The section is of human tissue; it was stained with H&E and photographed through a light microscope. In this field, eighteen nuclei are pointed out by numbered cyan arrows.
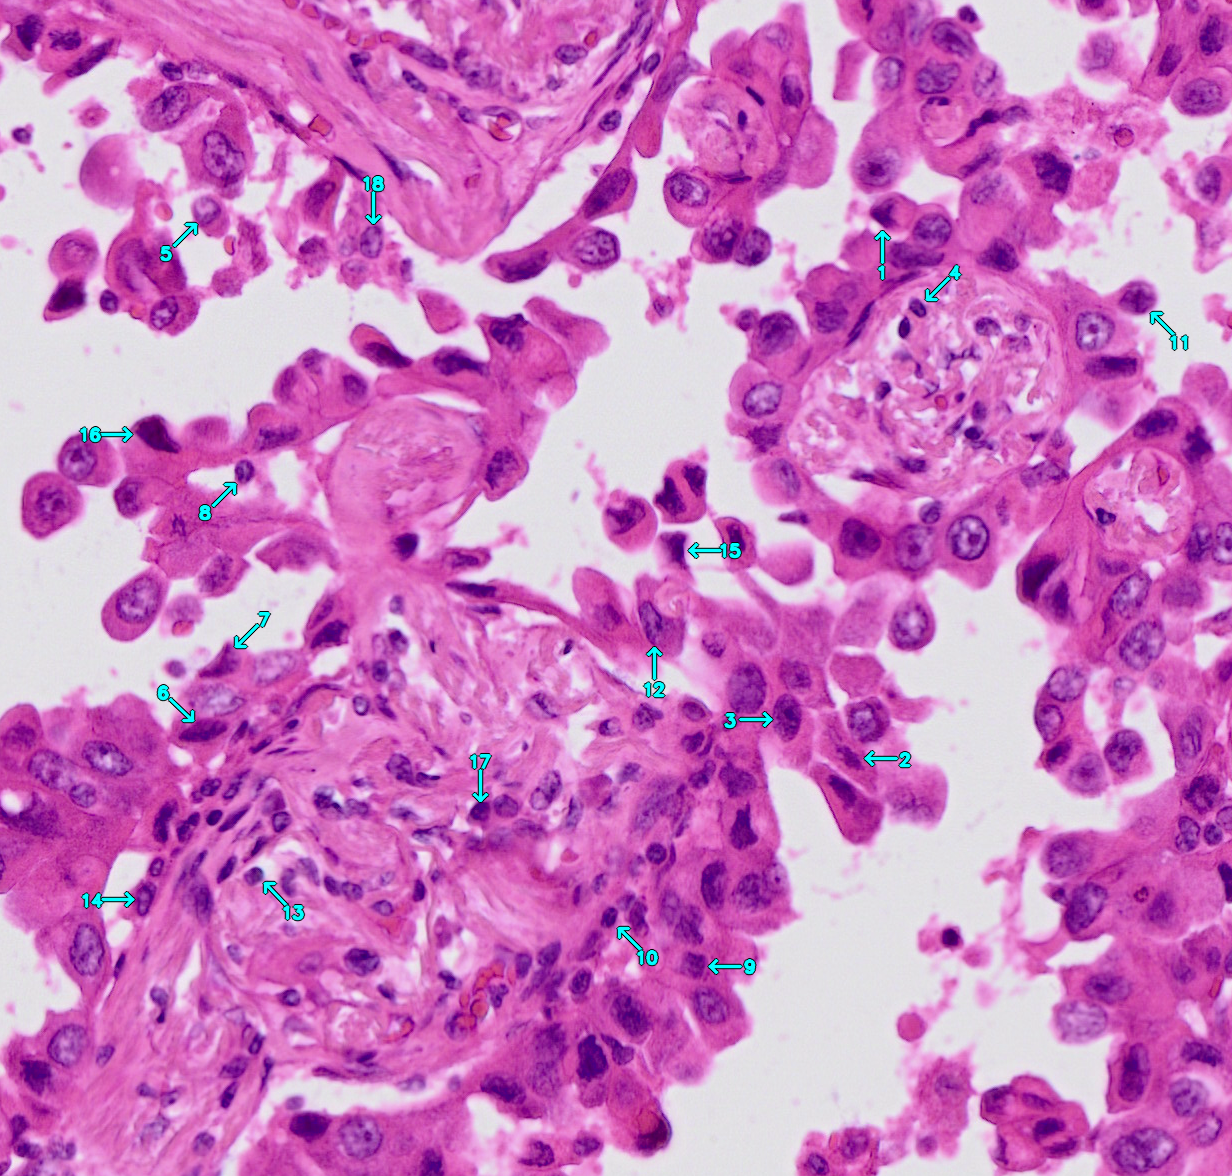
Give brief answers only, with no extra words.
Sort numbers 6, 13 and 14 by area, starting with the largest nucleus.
6, 14, 13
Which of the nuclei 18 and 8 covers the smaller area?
8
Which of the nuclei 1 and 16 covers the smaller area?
1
